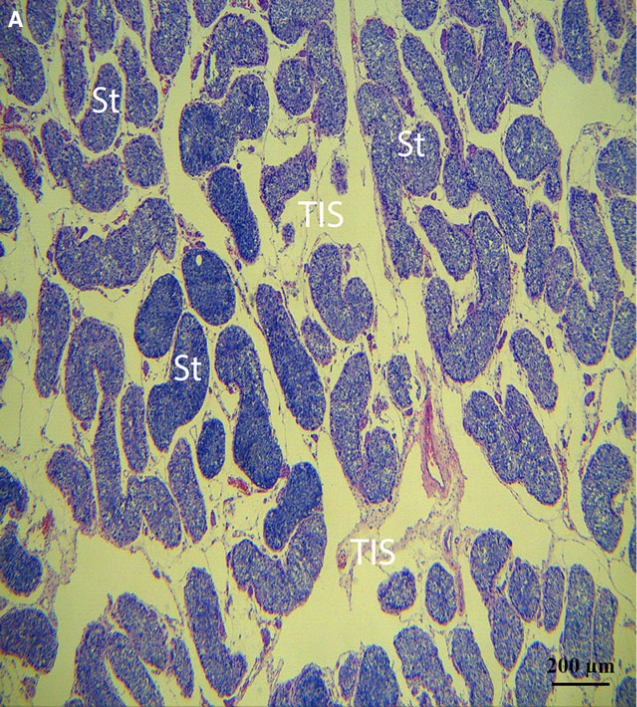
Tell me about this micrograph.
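At low power, the testis parenchyma shows numerous seminiferous tubules cut in round, oval and elongated, curving profiles, each densely filled with blue-staining cells. Loose, pale interstitial tissue with scattered red blood cells fills the spaces between the tubules.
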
